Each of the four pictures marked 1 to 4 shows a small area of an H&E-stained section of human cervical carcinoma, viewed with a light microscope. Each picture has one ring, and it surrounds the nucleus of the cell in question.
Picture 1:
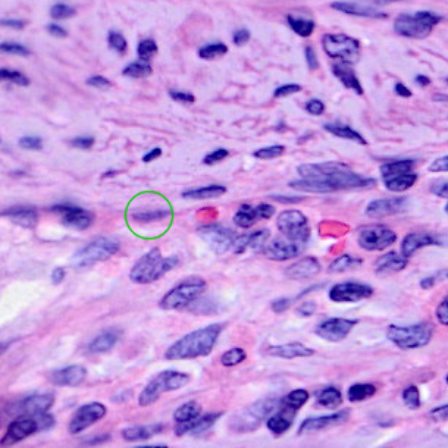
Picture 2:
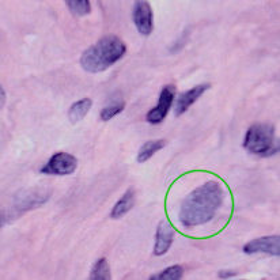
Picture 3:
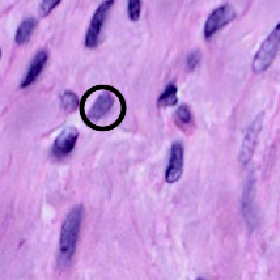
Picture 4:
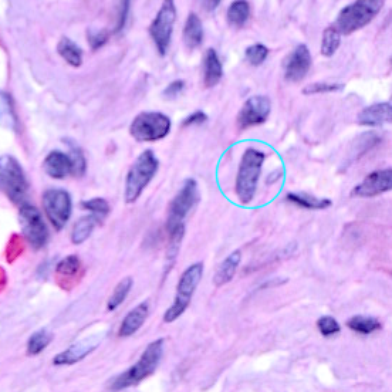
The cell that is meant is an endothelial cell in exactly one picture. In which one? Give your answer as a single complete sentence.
The picture with the endothelial cell is 1.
